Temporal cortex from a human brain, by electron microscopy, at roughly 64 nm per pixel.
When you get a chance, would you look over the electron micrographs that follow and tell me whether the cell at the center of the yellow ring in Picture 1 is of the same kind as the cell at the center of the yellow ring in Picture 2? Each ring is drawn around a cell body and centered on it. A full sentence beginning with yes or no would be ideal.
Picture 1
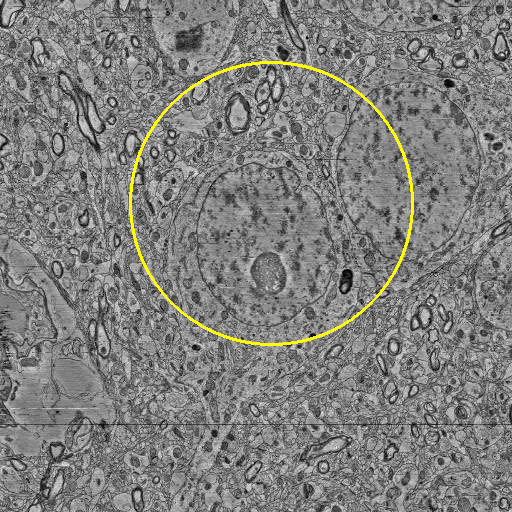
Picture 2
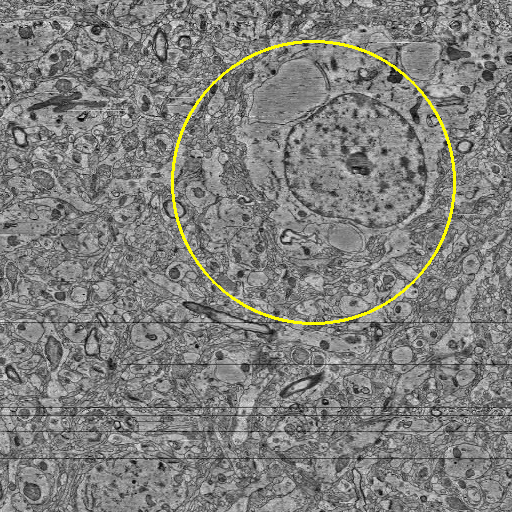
No, they are two kinds of cell.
